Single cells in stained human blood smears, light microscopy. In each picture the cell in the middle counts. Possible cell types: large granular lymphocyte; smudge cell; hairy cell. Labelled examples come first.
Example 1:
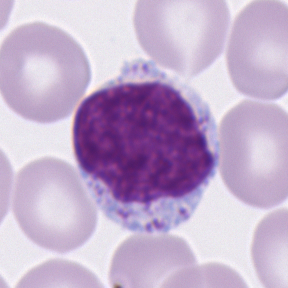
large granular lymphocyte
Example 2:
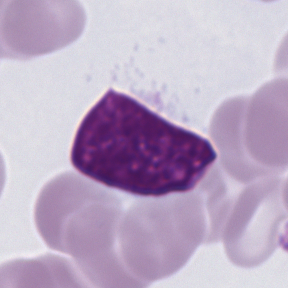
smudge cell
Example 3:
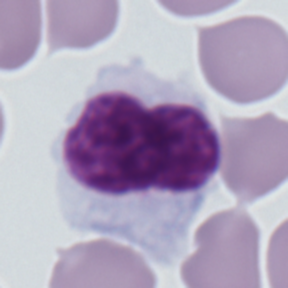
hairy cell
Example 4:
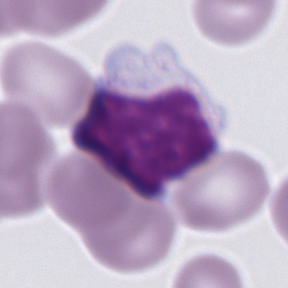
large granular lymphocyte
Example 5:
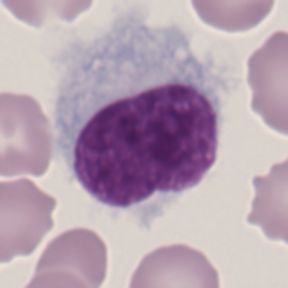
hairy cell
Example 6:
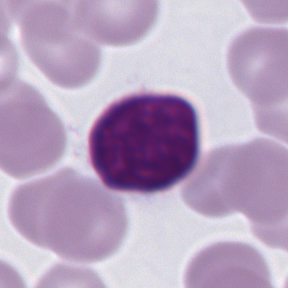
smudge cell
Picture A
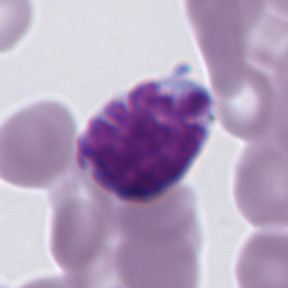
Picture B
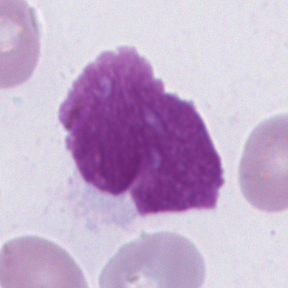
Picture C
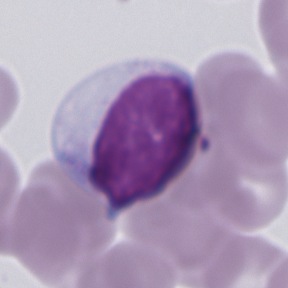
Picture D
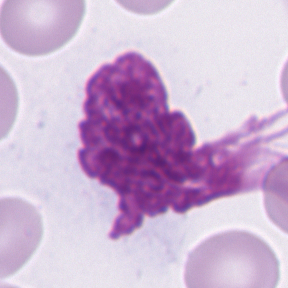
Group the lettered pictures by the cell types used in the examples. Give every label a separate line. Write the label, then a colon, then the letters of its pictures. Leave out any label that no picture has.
large granular lymphocyte: A, C
smudge cell: B, D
